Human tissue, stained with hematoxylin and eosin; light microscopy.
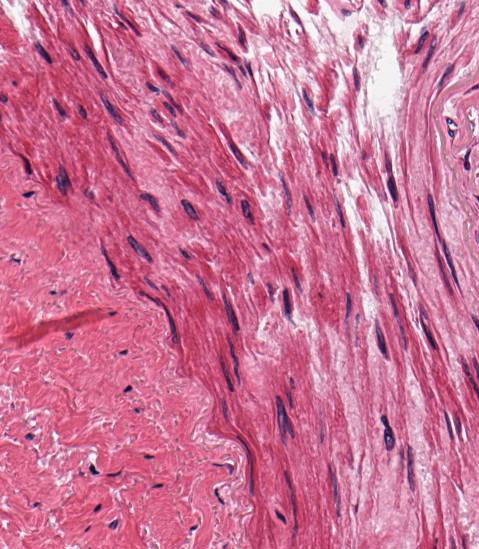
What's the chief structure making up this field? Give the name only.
tunica media of an artery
